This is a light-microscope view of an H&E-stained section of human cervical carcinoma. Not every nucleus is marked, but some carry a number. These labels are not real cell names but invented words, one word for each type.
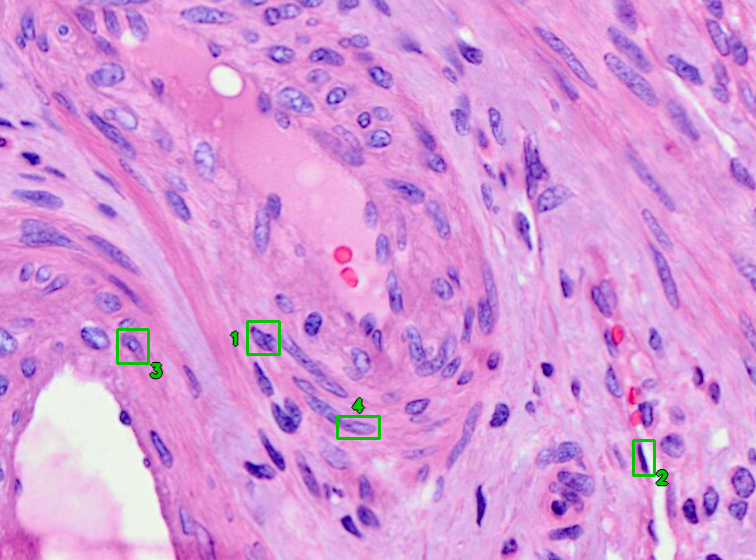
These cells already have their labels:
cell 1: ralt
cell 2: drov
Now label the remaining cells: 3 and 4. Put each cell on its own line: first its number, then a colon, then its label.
3: ralt
4: ralt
